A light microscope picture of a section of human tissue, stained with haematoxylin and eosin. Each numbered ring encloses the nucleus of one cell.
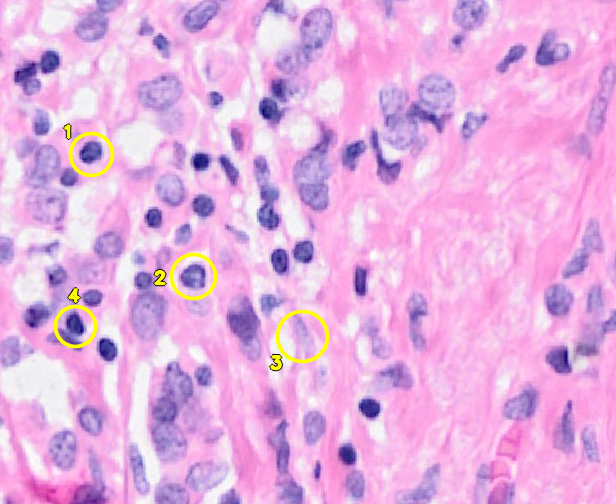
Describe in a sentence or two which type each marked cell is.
Cells 1, 2 and 4 are lymphocytes. Cell 3 is a fibroblast.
